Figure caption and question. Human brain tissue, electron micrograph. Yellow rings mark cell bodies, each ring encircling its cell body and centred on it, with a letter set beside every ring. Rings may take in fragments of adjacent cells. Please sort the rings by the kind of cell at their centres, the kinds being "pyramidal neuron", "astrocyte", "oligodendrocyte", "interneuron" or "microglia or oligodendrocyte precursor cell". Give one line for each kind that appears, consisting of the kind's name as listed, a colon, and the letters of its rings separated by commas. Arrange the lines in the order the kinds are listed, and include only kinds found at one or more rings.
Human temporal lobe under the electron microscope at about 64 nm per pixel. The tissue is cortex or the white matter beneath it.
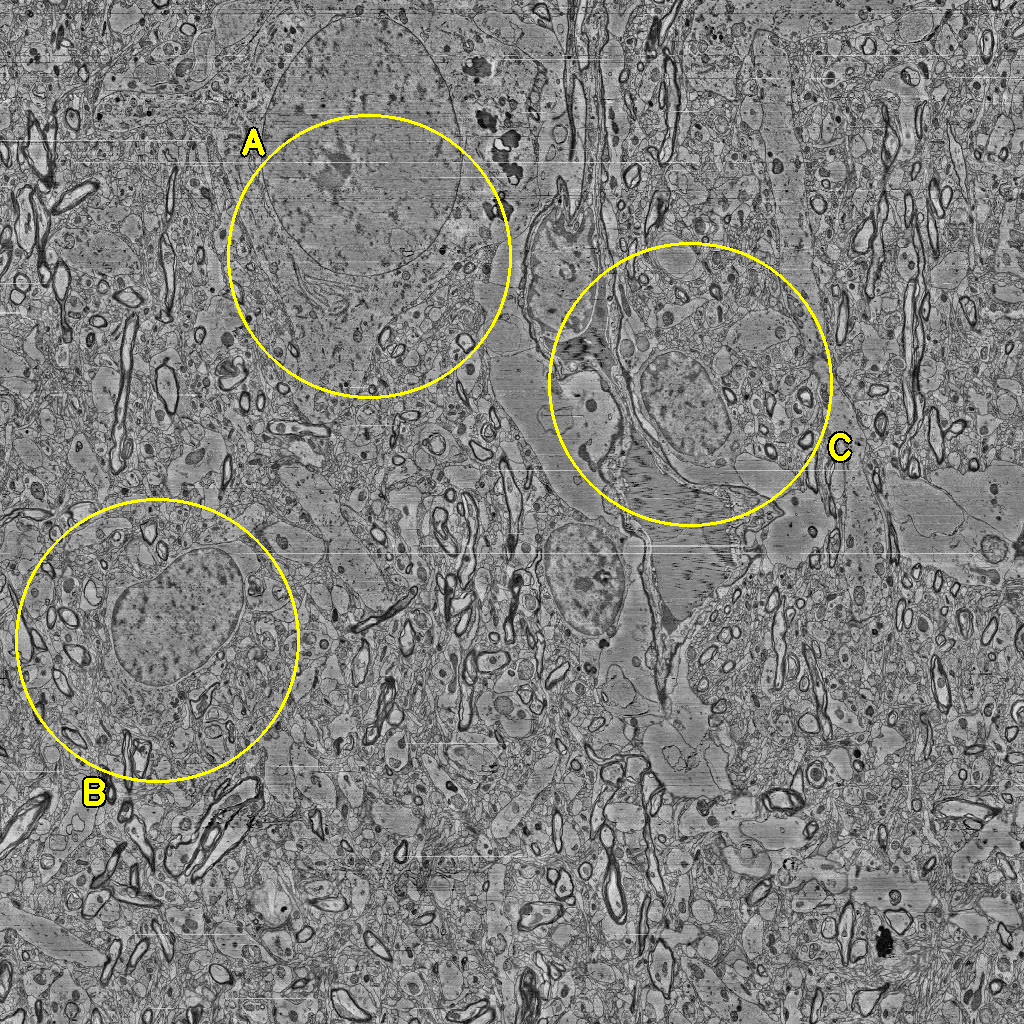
pyramidal neuron: A
oligodendrocyte: C
microglia or oligodendrocyte precursor cell: B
